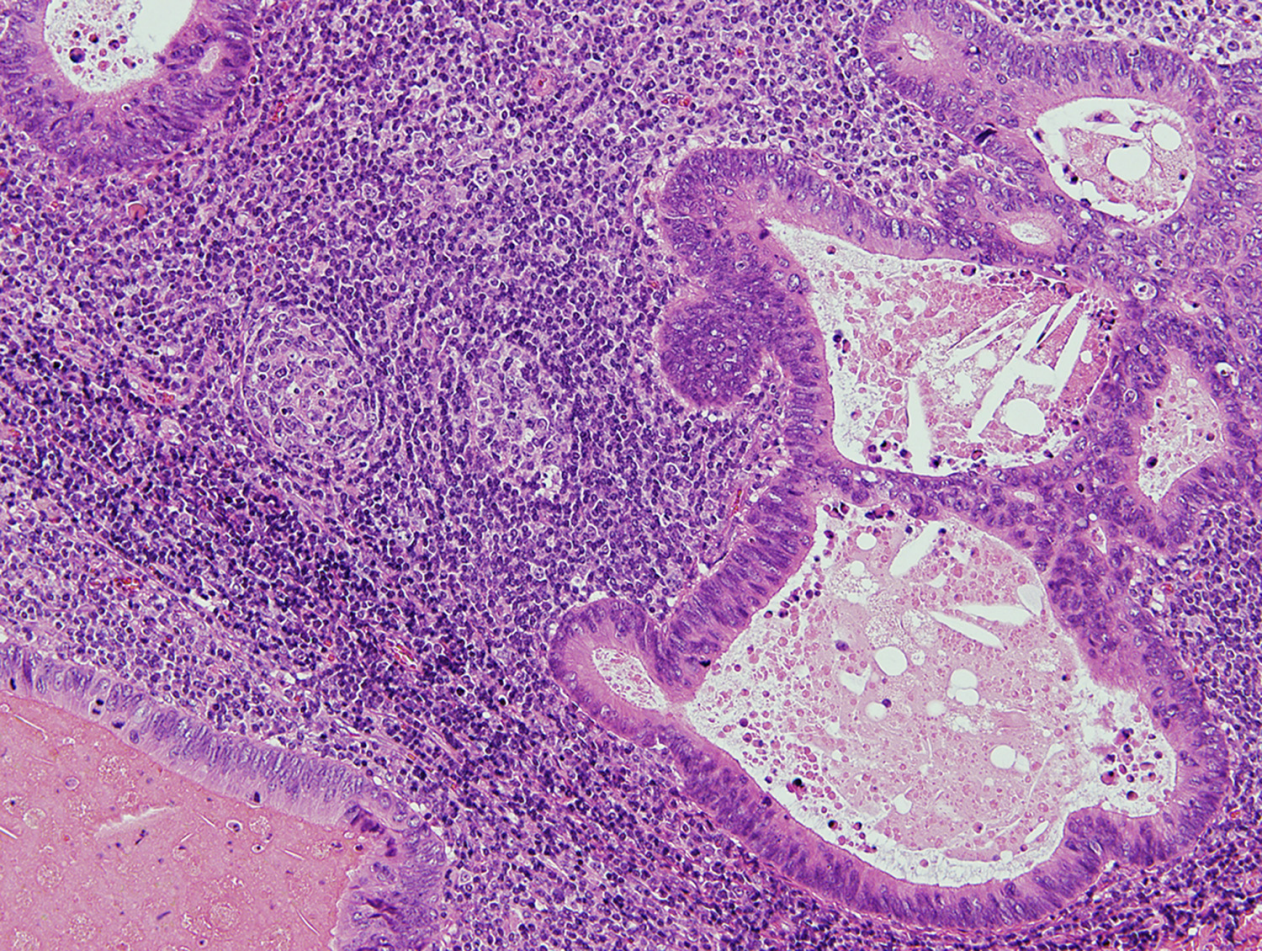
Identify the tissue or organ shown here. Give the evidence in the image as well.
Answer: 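Sheets of small round cells with dark nuclei fill the space between glands. A rounded paler nodule with larger cells sits in the dark cell sheet at left centre. That points to this answer: dense lymphoid tissue with follicles.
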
